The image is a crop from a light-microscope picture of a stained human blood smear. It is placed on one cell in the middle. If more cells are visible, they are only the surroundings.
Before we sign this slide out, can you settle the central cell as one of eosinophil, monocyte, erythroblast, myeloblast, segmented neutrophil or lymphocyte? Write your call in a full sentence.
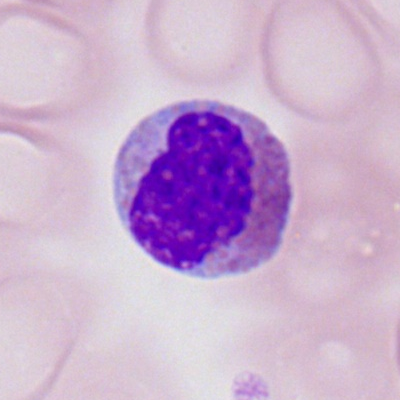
The central cell in this smear crop is an eosinophil.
